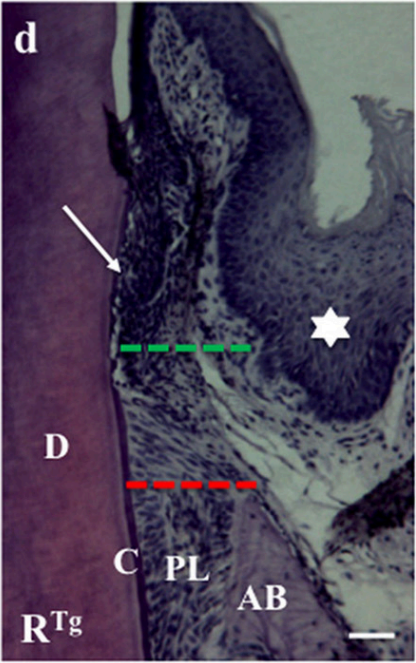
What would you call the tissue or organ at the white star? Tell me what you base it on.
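The star lies on a broad, densely cellular, dark purple stratified layer. The layer lines the gum tissue next to the tooth. The answer: gingival epithelium.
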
